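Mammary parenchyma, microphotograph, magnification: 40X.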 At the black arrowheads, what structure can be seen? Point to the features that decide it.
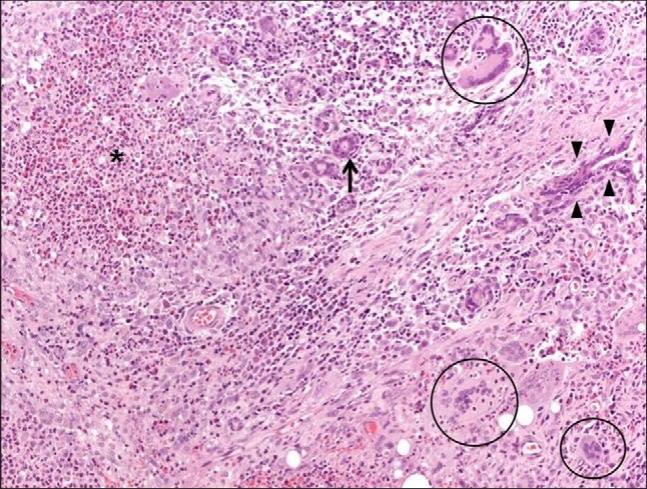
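Longitudinal section. The arrowheads frame an elongated band of dark-staining epithelial cells. The band runs obliquely through fibrous tissue.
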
